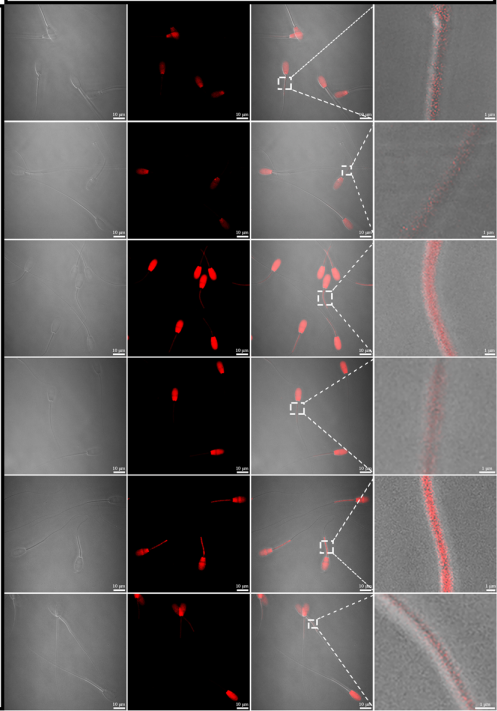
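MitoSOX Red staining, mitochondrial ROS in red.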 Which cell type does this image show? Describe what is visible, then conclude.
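Spermatozoa. Cells with small oval heads and long thin tails in the bright-field images. Red fluorescence lies over the oval heads and along parts of the tails.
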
